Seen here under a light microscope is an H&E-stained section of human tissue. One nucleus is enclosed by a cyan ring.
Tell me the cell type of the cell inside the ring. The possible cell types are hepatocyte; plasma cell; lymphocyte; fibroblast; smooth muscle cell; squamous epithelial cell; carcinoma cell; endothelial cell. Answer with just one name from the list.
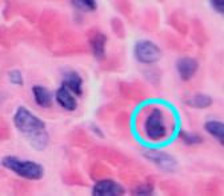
endothelial cell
